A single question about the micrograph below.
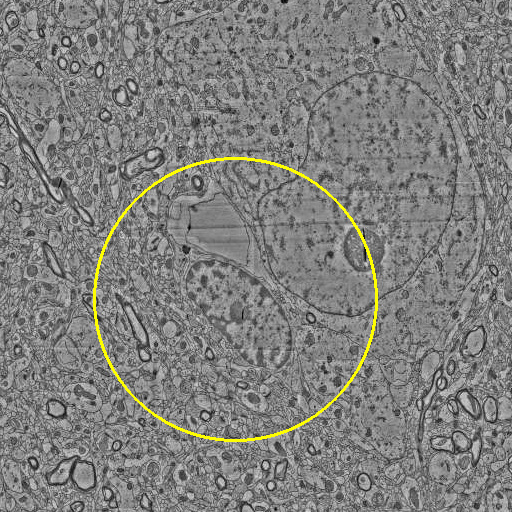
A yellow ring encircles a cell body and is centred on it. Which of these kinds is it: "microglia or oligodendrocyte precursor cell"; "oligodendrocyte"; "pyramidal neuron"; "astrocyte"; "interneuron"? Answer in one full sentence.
The cell body at the centre of the yellow ring belongs to a microglial cell or oligodendrocyte precursor cell.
